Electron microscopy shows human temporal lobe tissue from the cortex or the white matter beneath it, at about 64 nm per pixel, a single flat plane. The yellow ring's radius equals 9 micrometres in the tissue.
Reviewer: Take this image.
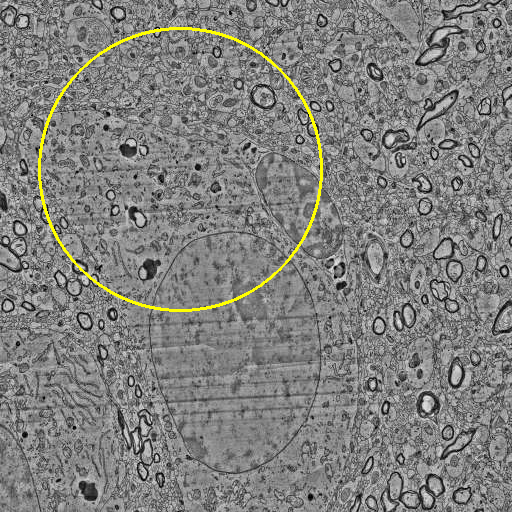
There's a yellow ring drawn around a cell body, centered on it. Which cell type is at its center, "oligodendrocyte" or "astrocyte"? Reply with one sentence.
At the center of the yellow ring is an oligodendrocyte.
